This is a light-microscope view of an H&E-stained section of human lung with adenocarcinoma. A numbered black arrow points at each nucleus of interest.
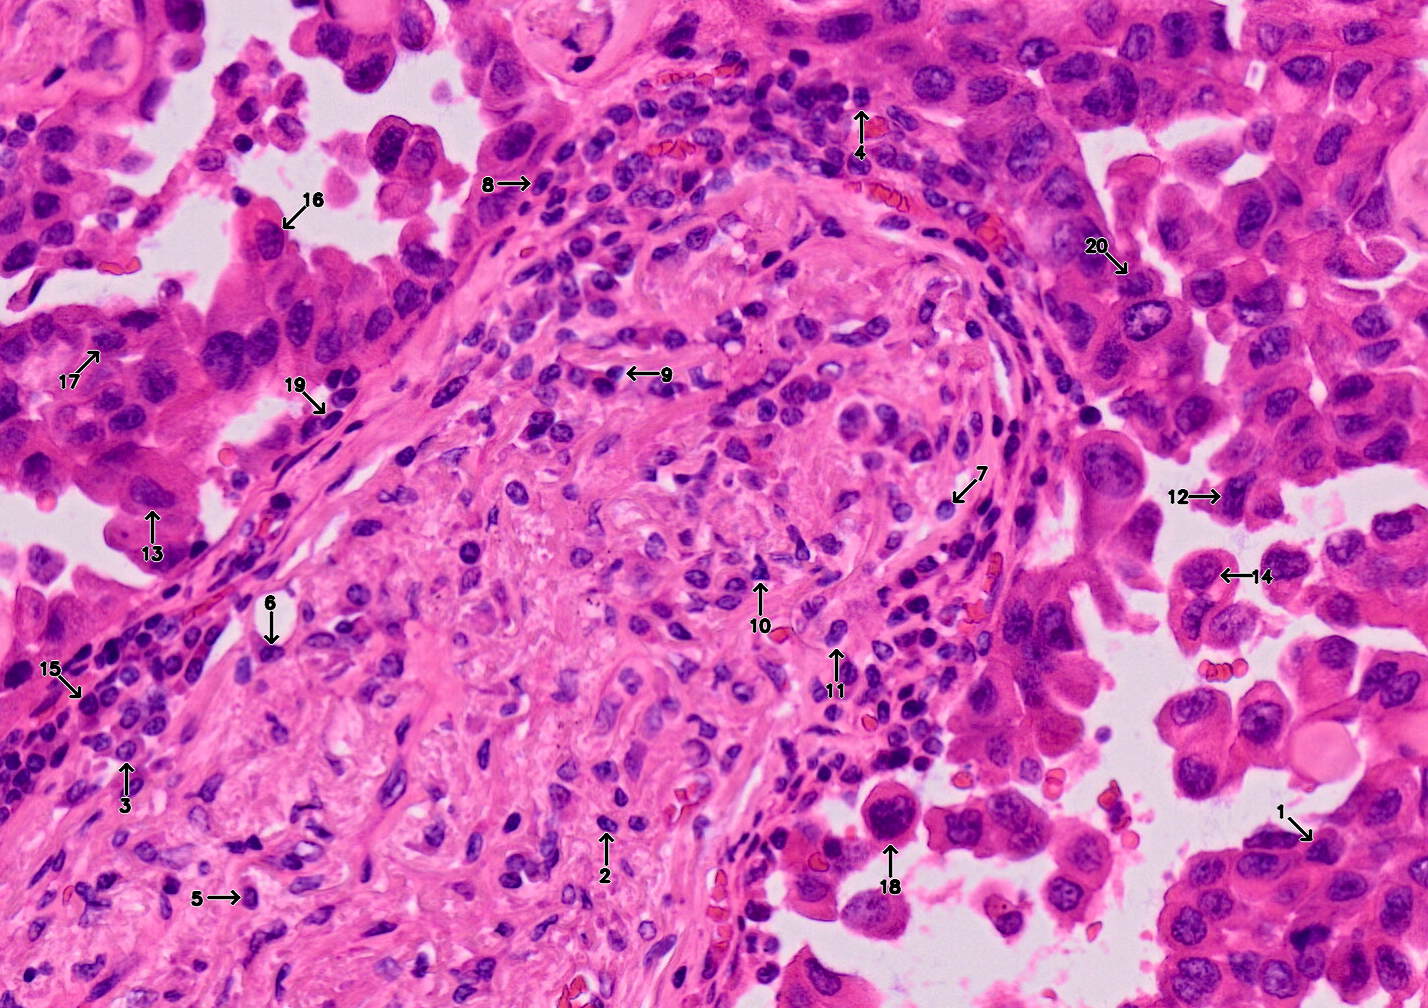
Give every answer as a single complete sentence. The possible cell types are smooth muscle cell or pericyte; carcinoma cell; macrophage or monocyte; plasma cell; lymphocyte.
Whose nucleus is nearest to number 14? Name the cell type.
It is a carcinoma cell whose nucleus is nearest to number 14.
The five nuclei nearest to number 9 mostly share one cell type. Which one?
Most of the five nuclei nearest to number 9 are those of plasma cells.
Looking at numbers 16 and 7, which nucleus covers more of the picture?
Nucleus 16 is larger, with an area about 2.5 times that of nucleus 7.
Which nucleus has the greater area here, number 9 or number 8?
Number 8 is larger; its area is about 1.5 times that of number 9.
